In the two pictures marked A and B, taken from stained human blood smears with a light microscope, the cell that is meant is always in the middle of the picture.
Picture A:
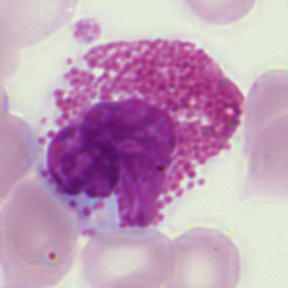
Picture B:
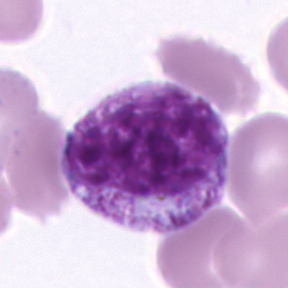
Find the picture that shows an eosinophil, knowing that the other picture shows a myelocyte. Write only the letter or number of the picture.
A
